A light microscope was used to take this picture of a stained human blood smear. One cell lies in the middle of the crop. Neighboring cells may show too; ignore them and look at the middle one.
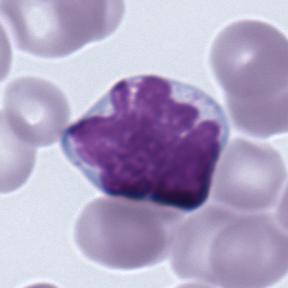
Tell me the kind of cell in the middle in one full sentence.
The central cell, amid any neighbouring cells, is a large granular lymphocyte.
